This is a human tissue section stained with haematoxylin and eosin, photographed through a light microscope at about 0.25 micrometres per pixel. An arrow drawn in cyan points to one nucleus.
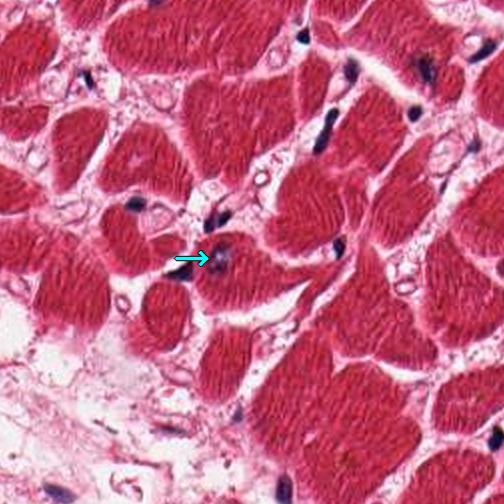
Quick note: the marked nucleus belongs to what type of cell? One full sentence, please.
The nucleus carrying the mark is the nucleus of a cardiomyocyte.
